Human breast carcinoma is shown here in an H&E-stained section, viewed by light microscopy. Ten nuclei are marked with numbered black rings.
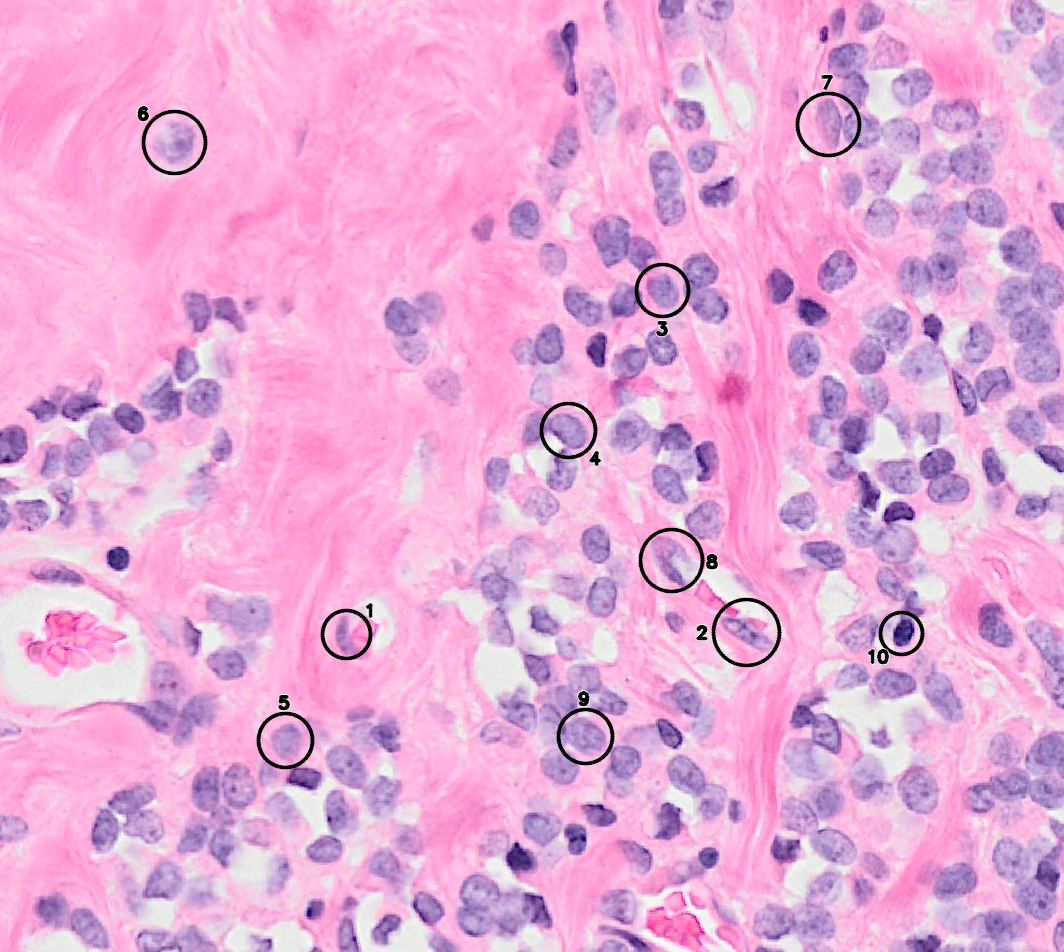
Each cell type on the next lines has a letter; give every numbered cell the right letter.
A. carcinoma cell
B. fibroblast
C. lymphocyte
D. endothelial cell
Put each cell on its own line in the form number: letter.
1: D
2: D
3: A
4: A
5: A
6: B
7: A
8: D
9: A
10: C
